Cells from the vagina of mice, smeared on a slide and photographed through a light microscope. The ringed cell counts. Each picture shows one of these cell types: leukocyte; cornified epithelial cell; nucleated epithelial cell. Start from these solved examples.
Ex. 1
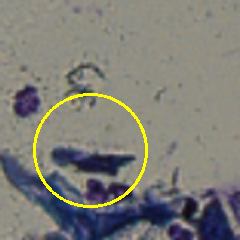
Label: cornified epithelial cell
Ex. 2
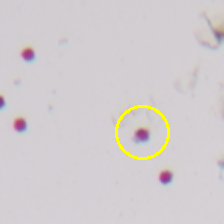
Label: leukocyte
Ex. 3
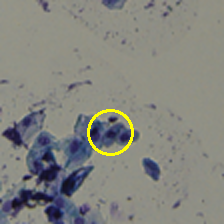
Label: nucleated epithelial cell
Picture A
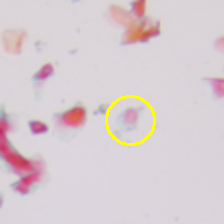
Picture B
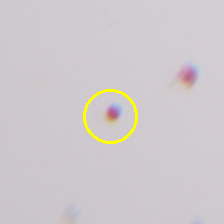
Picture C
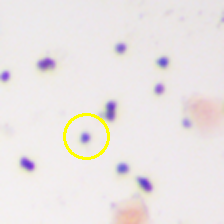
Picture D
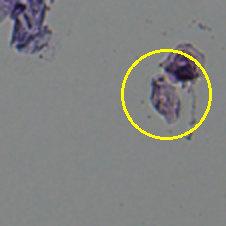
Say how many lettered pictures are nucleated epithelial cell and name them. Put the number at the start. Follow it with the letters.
1, namely A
